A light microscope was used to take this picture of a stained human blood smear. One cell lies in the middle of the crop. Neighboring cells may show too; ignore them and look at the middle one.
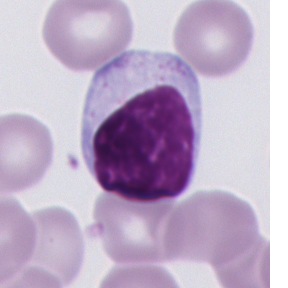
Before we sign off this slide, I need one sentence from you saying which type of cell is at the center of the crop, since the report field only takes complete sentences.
In this smear crop, the middle cell is a large granular lymphocyte.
